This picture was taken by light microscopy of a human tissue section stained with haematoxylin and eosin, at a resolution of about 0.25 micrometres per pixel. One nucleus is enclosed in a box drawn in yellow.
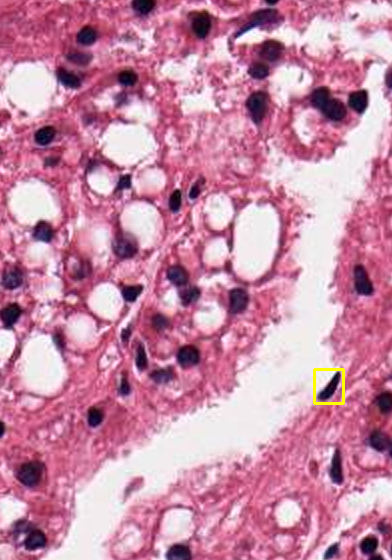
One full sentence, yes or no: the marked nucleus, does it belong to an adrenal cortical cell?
No, the marked nucleus, which belongs to a supporting cell, is not part of an adrenal cortical cell.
